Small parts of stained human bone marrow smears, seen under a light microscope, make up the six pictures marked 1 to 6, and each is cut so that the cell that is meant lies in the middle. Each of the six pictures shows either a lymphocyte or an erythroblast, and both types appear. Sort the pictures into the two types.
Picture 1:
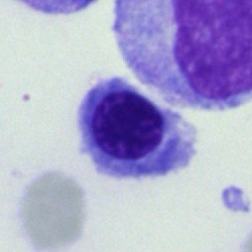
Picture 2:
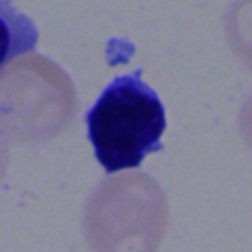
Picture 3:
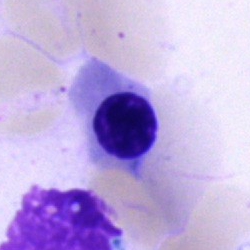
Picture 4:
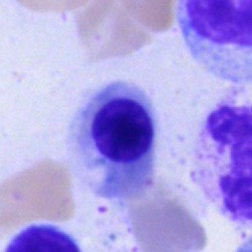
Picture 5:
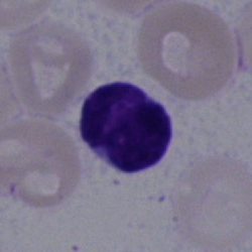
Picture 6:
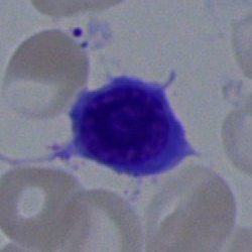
1: erythroblast
2: lymphocyte
3: erythroblast
4: erythroblast
5: lymphocyte
6: lymphocyte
